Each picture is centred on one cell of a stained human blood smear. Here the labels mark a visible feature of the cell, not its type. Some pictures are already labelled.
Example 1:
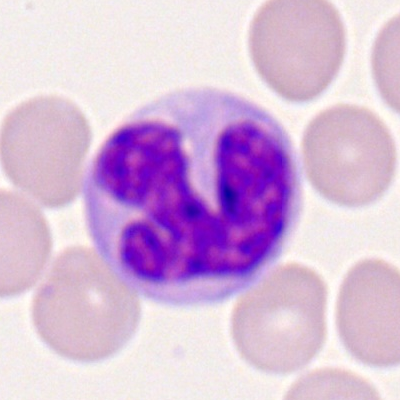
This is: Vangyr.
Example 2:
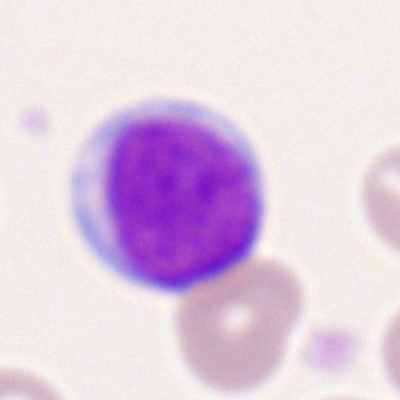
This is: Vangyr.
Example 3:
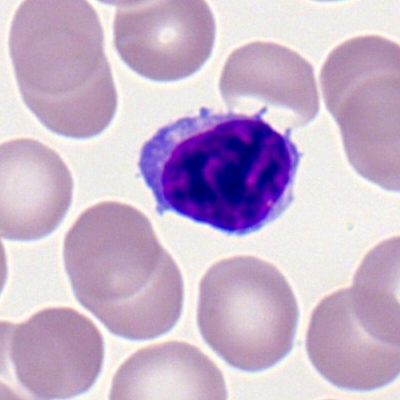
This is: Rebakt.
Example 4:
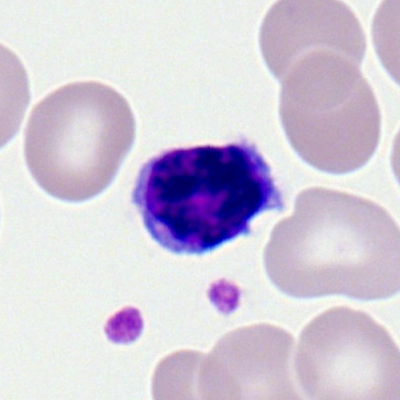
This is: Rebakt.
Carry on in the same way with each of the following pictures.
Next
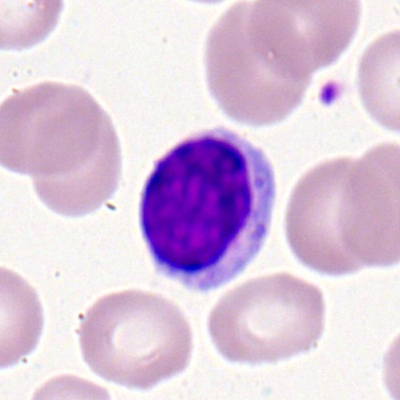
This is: Vangyr.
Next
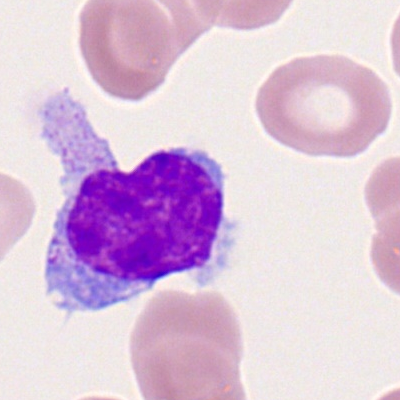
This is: Rebakt.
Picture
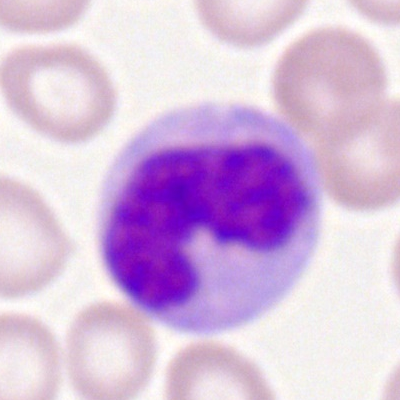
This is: Vangyr.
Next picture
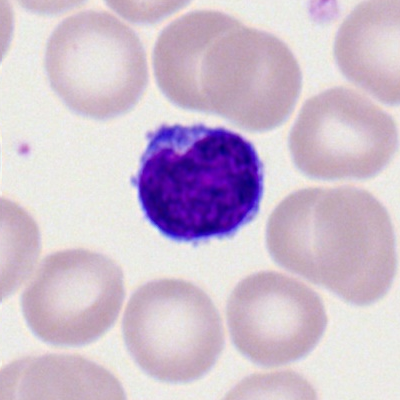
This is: Rebakt.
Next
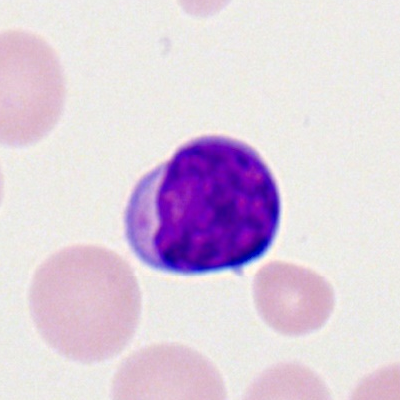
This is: Vangyr.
